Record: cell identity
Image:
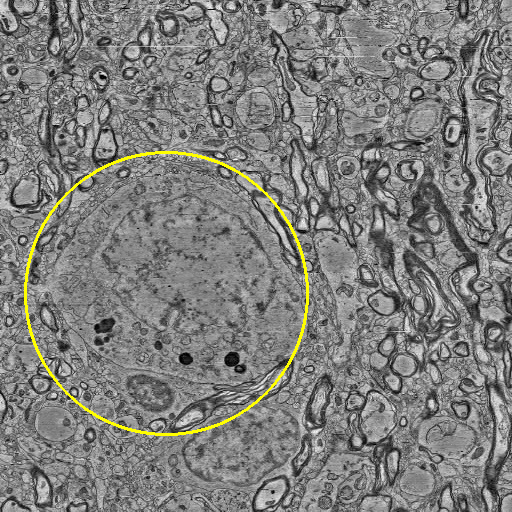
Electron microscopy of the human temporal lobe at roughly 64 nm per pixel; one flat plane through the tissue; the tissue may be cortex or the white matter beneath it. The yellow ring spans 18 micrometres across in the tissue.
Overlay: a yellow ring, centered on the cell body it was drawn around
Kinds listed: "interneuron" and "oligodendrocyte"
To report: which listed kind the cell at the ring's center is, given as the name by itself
interneuron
